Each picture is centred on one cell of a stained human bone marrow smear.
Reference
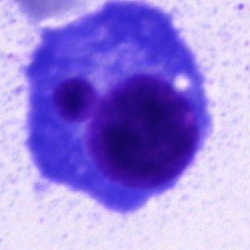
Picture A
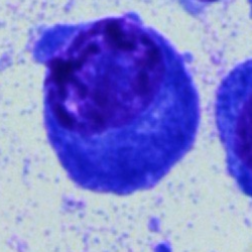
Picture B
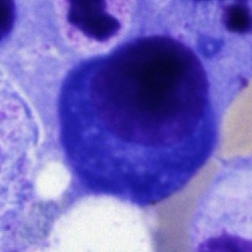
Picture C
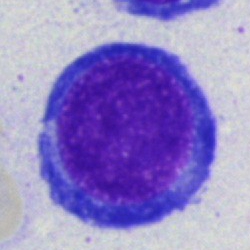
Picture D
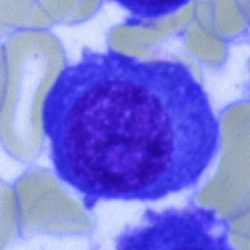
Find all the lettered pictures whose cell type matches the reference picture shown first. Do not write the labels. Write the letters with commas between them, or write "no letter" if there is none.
A, B, D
